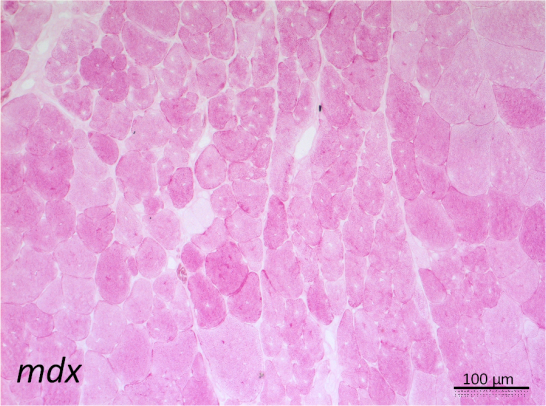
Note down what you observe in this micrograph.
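The staining differs from fibre to fibre, with many fibres strongly magenta and others paler, and the fibres vary noticeably in size. Small pale gaps of connective tissue lie between some groups of fibres.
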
